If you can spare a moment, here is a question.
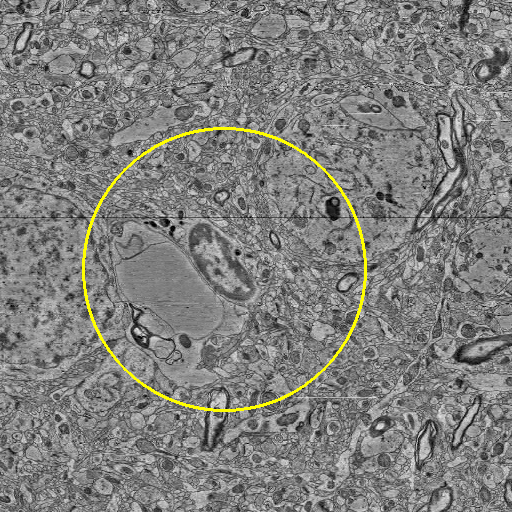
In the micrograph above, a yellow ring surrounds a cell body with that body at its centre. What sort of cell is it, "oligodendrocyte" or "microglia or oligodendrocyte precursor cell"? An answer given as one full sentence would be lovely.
Centred inside the yellow ring, the cell body shown belongs to a microglial cell or oligodendrocyte precursor cell in this micrograph.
